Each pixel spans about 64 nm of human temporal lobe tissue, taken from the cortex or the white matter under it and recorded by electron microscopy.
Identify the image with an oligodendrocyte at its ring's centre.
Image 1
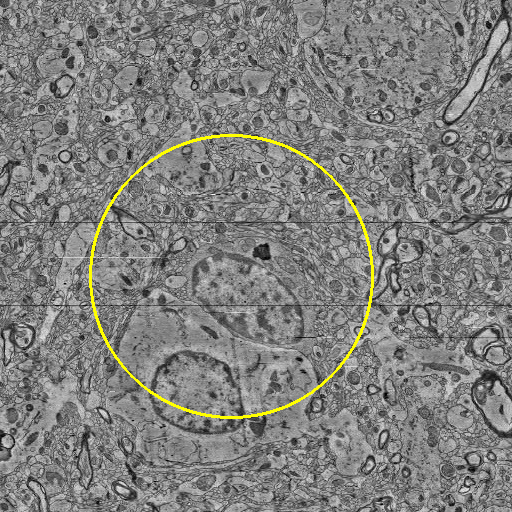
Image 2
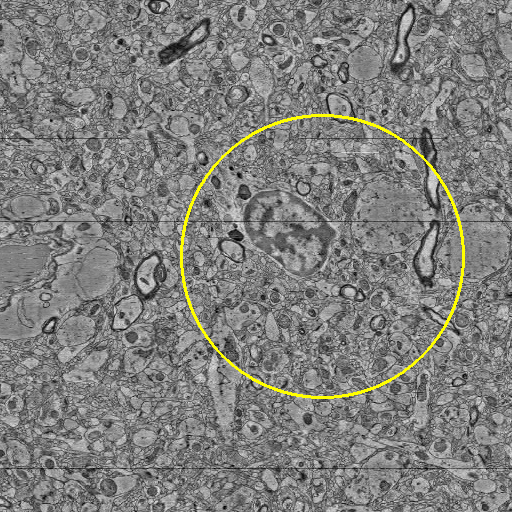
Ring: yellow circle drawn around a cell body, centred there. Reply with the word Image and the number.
Image 1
